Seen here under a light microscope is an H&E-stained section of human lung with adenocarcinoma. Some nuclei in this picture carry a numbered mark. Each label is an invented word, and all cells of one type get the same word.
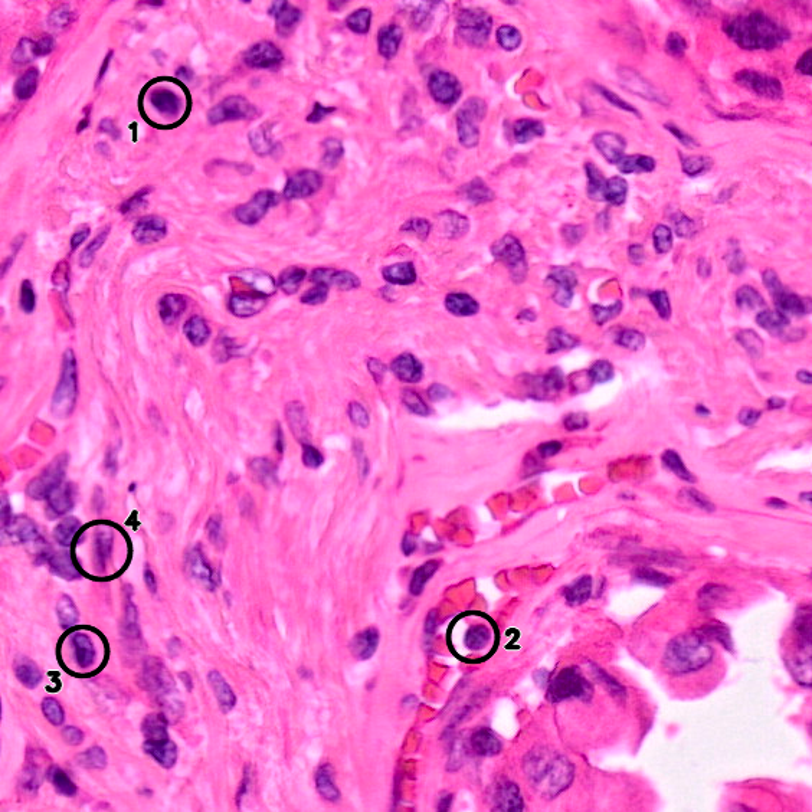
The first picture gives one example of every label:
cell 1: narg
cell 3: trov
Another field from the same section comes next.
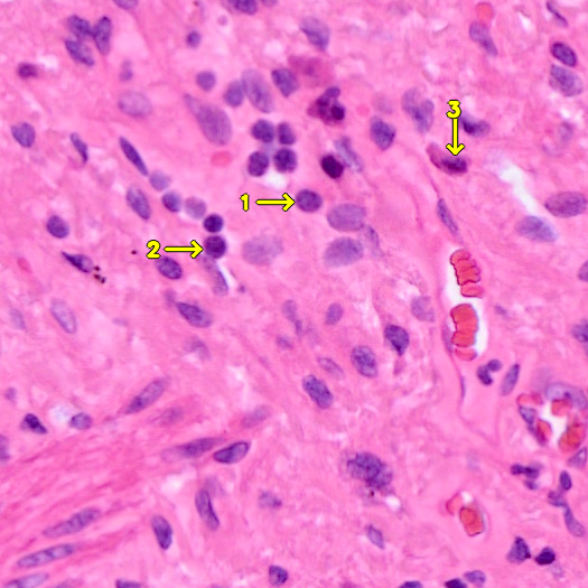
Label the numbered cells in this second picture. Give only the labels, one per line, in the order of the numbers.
trov
trov
narg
